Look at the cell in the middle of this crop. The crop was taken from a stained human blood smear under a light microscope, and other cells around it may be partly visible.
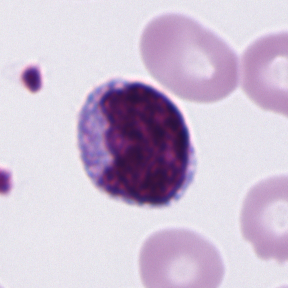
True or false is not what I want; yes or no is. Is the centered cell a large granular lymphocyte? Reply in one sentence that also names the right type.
No, rather than a large granular lymphocyte, the central cell is a monocyte.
